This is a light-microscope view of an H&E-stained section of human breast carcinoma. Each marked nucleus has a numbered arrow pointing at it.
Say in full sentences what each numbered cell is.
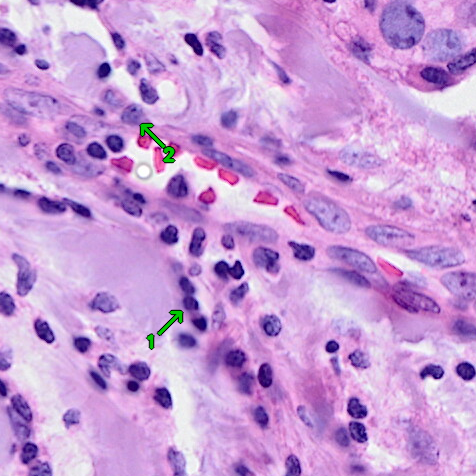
Cell 1 is a lymphocyte. Cell 2 is an endothelial cell.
